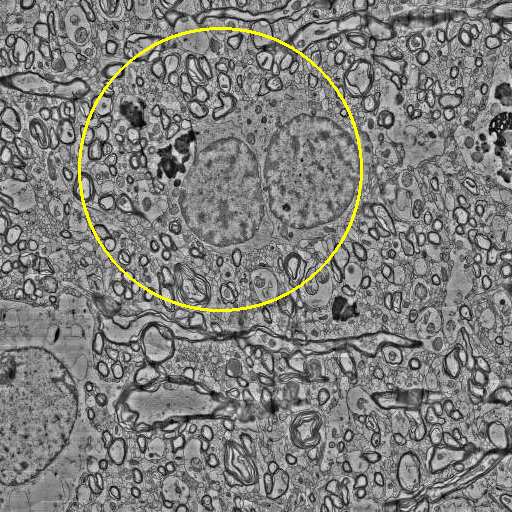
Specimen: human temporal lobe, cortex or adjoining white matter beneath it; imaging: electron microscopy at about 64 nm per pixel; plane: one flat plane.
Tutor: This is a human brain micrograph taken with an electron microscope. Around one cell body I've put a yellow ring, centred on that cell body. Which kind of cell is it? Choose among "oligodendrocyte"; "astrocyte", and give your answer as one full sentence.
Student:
Going by your list, the cell centred in the yellow ring is an oligodendrocyte.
